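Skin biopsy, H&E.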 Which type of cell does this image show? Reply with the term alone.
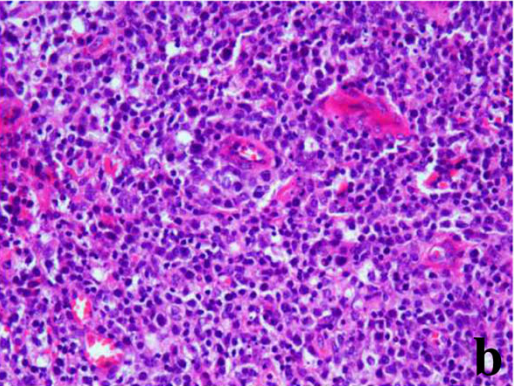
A: Medium- to large-sized lymphocytes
